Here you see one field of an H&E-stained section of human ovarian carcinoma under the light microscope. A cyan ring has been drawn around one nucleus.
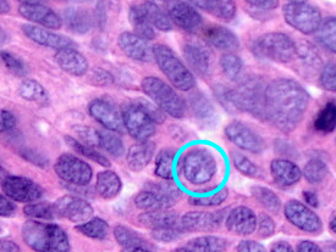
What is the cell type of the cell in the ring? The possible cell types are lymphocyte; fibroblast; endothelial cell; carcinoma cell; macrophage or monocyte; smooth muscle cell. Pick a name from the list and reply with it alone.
carcinoma cell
